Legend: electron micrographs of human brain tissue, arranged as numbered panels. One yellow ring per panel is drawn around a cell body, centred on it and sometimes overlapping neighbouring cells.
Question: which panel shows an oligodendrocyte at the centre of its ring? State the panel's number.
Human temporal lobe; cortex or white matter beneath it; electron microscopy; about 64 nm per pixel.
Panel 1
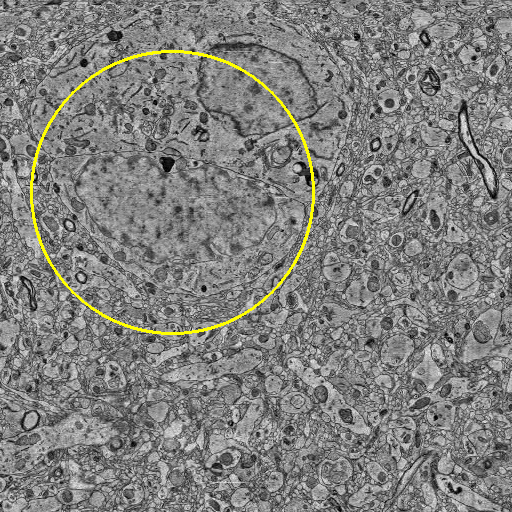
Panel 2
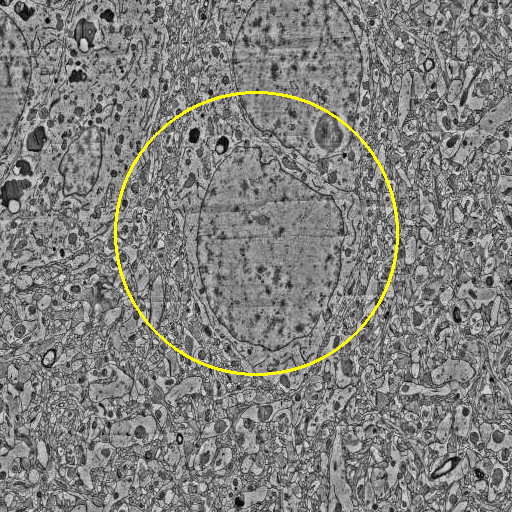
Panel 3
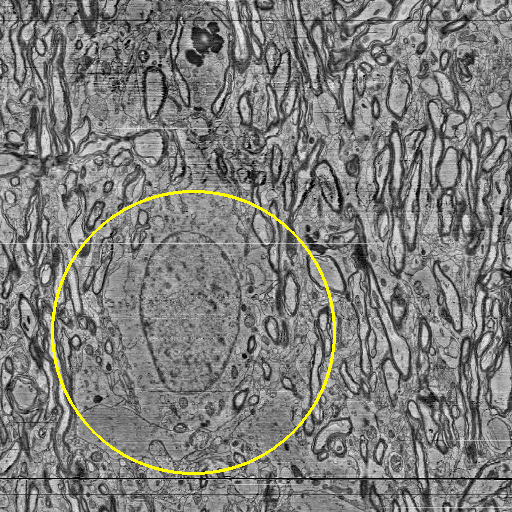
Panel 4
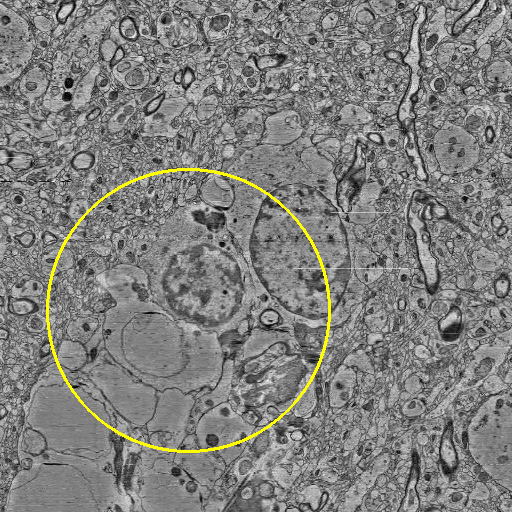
4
